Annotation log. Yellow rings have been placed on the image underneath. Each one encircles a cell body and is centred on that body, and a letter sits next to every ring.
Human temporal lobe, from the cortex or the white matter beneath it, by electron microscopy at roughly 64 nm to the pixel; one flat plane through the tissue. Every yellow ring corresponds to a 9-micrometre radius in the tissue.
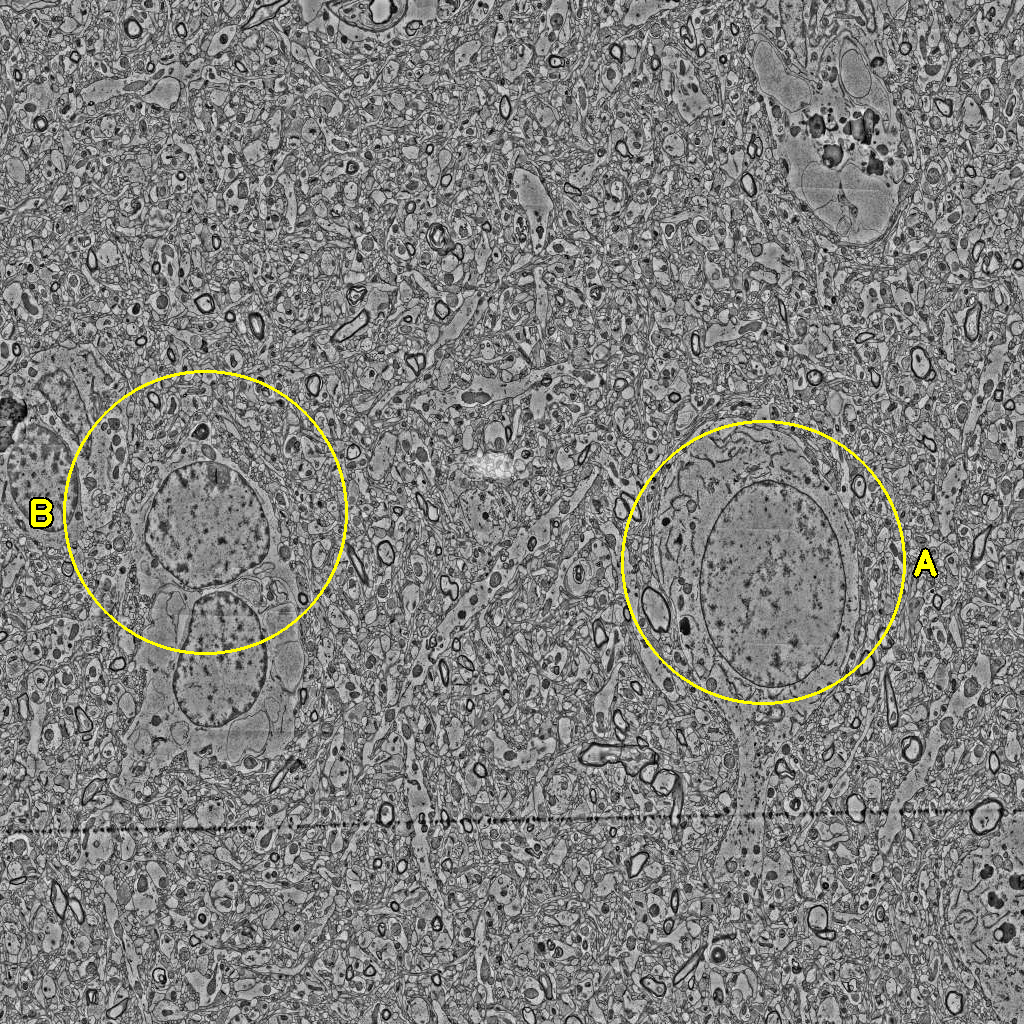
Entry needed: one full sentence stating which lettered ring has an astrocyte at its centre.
The cell asked for sits at the centre of Ring B in the picture.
